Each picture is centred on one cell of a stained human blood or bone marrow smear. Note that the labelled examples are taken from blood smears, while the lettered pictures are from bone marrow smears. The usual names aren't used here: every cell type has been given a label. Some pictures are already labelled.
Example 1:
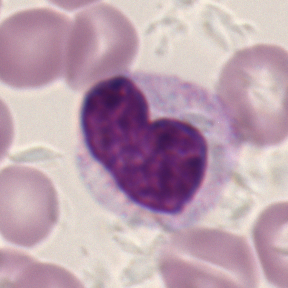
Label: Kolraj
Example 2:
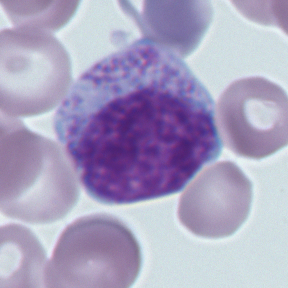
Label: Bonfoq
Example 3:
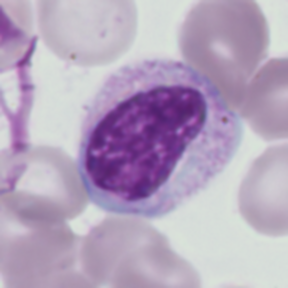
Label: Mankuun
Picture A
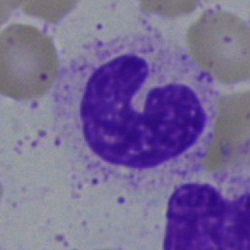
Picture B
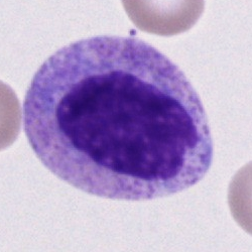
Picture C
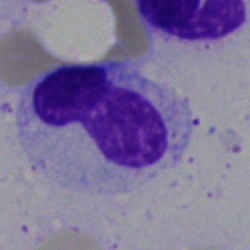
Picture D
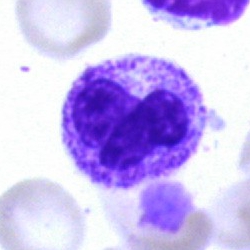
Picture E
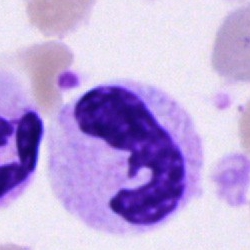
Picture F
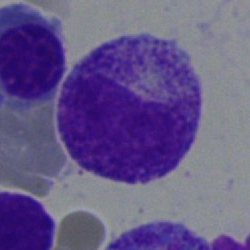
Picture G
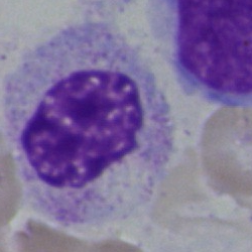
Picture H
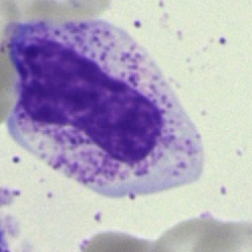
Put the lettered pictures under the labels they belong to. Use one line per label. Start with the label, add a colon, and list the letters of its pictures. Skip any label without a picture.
Kolraj: A, C, D, E
Bonfoq: B, F, G
Mankuun: H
